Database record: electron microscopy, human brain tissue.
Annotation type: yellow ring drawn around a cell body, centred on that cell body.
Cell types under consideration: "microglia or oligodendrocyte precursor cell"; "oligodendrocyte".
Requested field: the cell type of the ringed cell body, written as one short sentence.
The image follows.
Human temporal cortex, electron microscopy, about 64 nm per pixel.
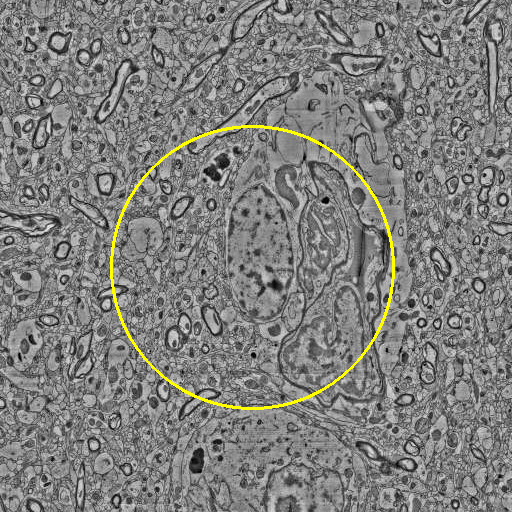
The ringed cell body represents a microglial cell or oligodendrocyte precursor cell.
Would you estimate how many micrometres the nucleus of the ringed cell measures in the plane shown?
About 8 by 5 micrometres in this plane.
